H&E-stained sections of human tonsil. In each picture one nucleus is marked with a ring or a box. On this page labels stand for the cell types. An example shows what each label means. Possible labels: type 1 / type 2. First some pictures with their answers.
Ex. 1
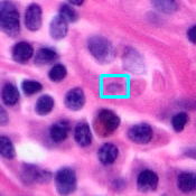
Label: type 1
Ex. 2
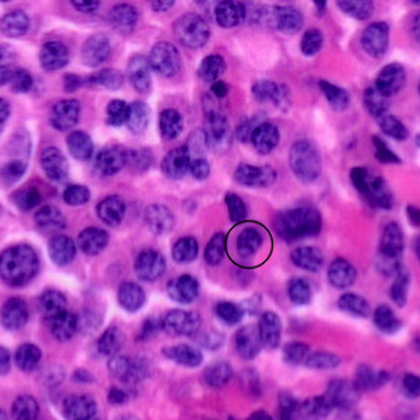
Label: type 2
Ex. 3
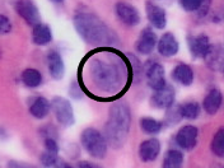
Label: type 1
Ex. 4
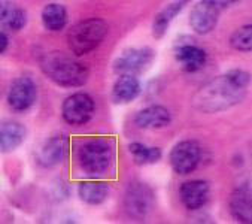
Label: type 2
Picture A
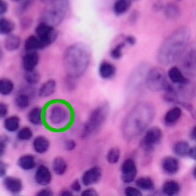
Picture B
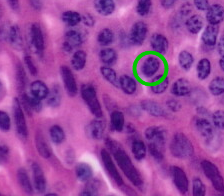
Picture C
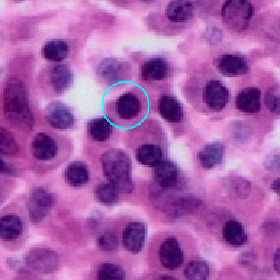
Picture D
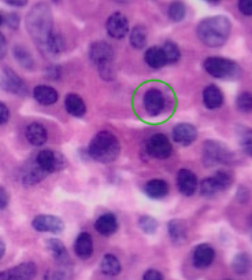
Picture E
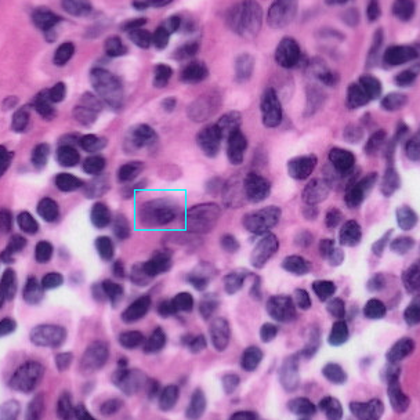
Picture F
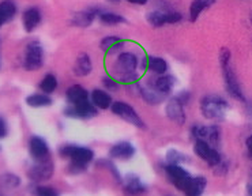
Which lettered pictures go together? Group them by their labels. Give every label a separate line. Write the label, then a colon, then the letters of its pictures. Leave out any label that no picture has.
type 1: A, E, F
type 2: B, C, D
